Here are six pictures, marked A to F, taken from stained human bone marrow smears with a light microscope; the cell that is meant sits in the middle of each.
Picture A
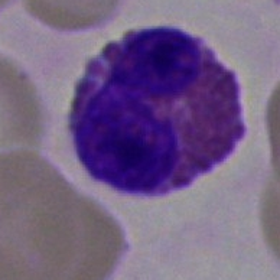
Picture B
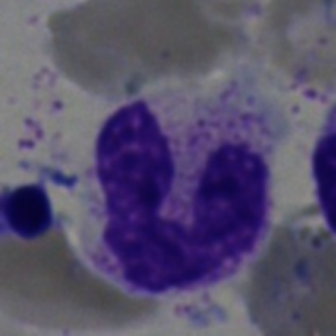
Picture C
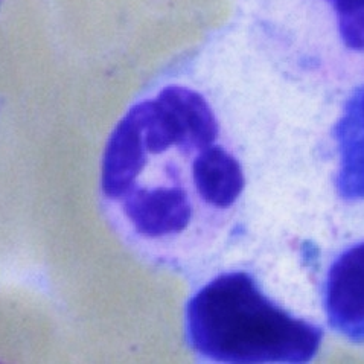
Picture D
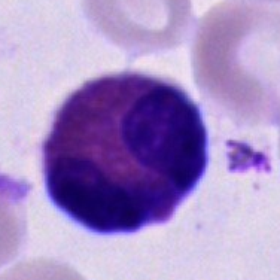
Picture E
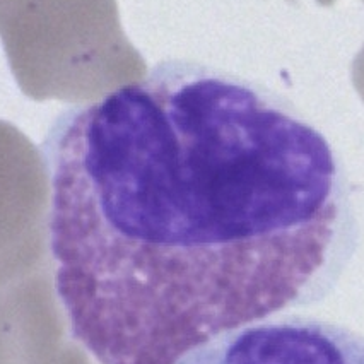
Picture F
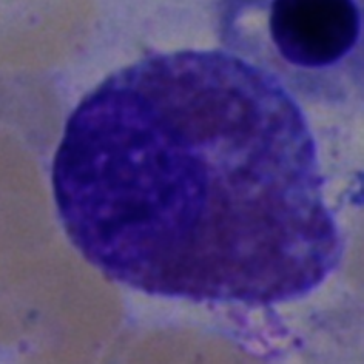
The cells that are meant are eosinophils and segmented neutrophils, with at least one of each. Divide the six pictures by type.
A: eosinophil
B: segmented neutrophil
C: segmented neutrophil
D: eosinophil
E: eosinophil
F: eosinophil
